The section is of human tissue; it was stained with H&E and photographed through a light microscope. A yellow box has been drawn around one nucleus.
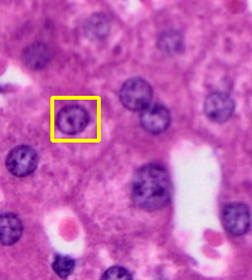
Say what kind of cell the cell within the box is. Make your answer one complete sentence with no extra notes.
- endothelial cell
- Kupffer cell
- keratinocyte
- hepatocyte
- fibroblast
Typologically, the cell within the box is a hepatocyte in this section.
